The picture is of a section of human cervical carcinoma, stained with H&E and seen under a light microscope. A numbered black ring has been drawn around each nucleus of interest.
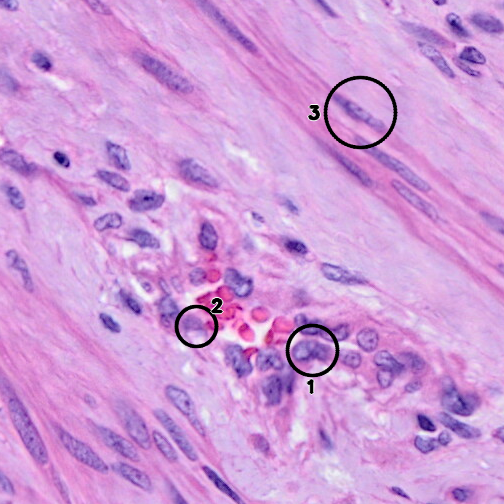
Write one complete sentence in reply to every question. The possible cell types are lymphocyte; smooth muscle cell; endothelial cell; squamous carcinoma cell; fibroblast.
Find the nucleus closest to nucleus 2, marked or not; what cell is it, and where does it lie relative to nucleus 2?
It is an endothelial cell, whose nucleus lies above and to the left of nucleus 2.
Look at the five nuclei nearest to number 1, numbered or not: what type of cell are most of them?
The majority of the five nuclei closest to number 1 belong to endothelial cells.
